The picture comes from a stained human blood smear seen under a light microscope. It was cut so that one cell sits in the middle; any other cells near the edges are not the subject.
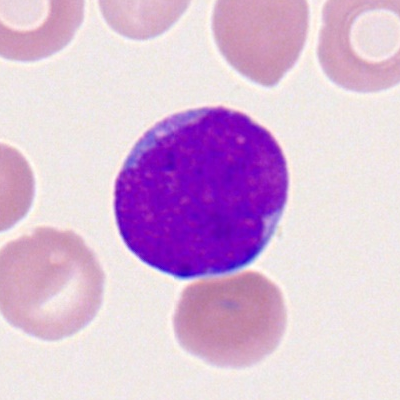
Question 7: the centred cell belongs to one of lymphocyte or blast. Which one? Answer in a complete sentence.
This crop's central cell is a blast.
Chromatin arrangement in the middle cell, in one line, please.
The chromatin shows a fine pattern without coarse clumps.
